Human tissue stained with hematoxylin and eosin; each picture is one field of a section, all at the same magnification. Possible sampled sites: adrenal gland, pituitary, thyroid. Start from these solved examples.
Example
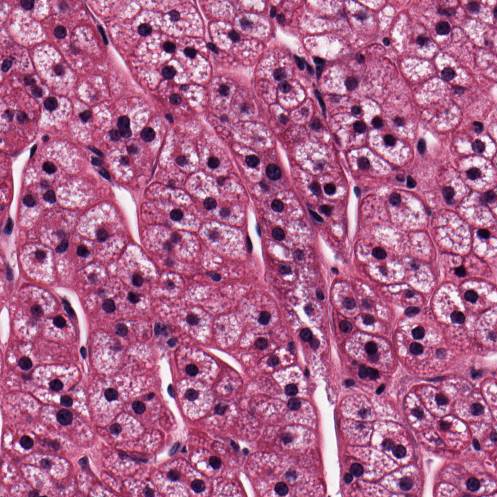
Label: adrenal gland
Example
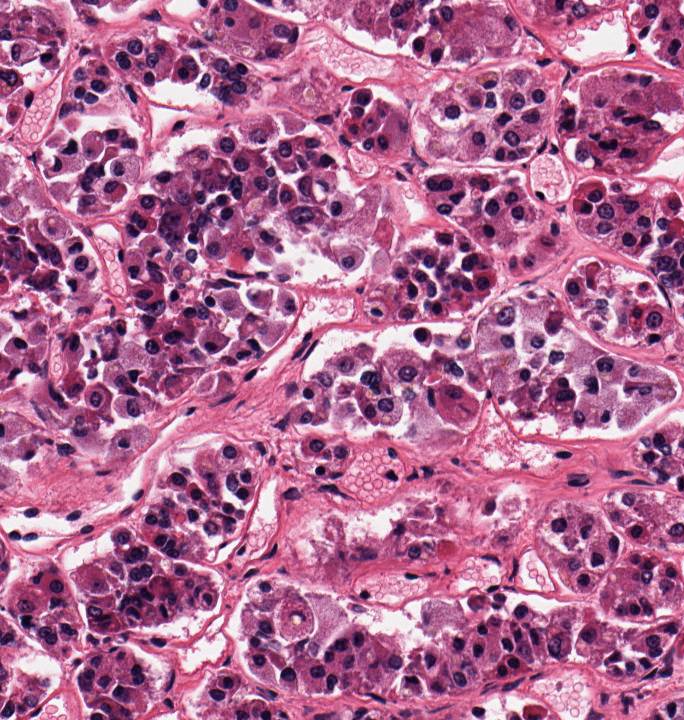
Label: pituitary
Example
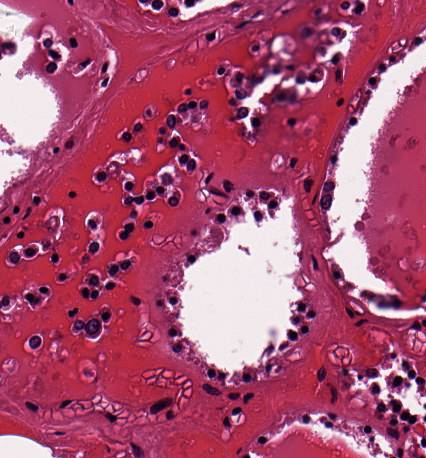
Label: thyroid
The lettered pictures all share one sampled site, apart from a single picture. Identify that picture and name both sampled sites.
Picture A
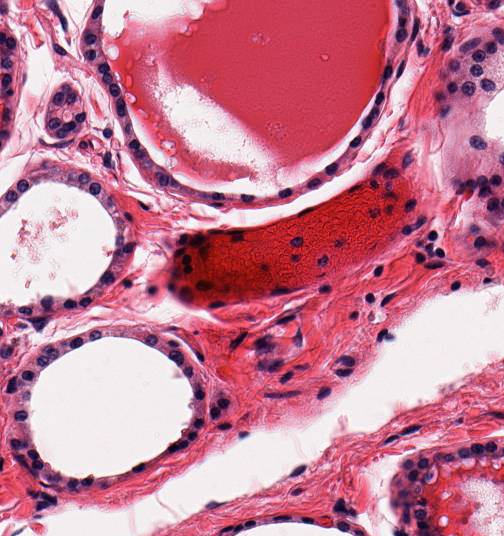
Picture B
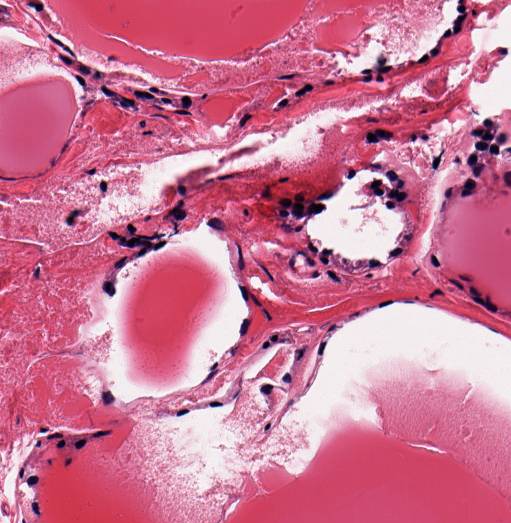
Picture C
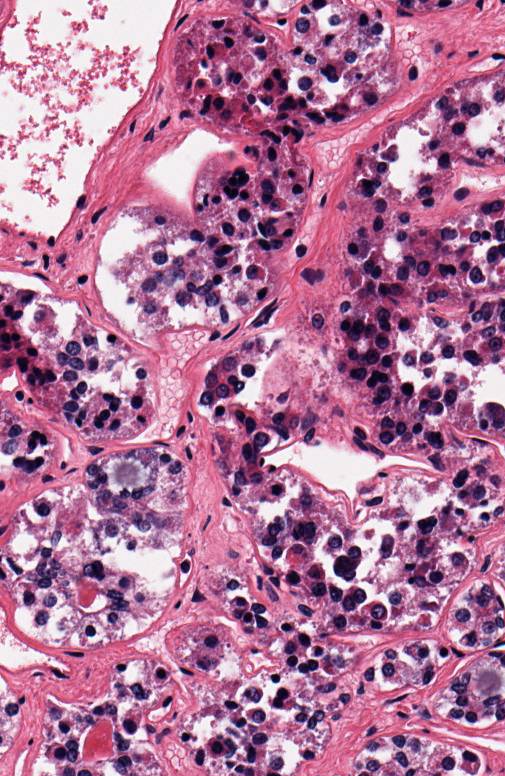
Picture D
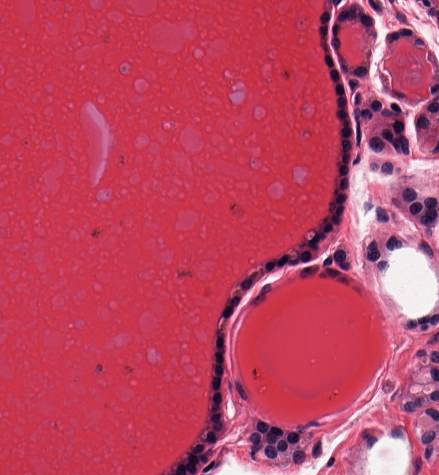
C: pituitary; all the others: thyroid.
